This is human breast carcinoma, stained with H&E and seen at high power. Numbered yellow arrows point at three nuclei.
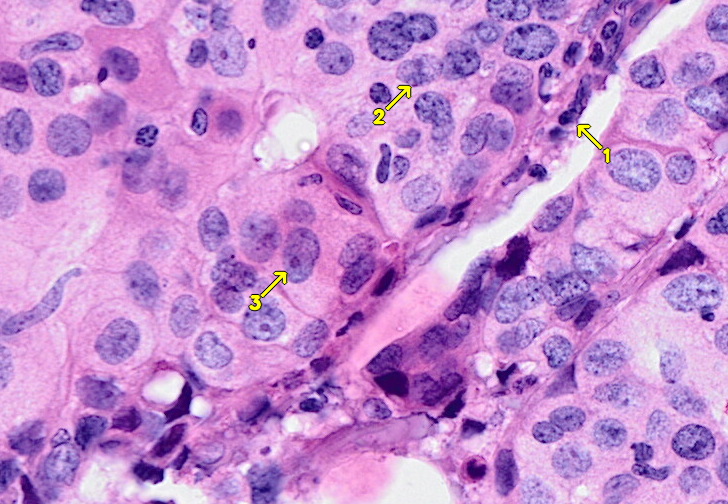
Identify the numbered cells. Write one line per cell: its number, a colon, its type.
1: lymphocyte
2: carcinoma cell
3: carcinoma cell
